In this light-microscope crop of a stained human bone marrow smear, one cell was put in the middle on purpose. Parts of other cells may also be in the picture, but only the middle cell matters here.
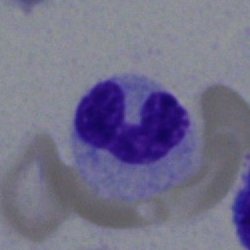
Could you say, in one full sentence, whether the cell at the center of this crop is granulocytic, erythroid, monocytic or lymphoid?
The cell held in the center of the crop belongs to the granulocytic lineage.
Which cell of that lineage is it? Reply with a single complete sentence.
The centered cell in this crop is a band neutrophil.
